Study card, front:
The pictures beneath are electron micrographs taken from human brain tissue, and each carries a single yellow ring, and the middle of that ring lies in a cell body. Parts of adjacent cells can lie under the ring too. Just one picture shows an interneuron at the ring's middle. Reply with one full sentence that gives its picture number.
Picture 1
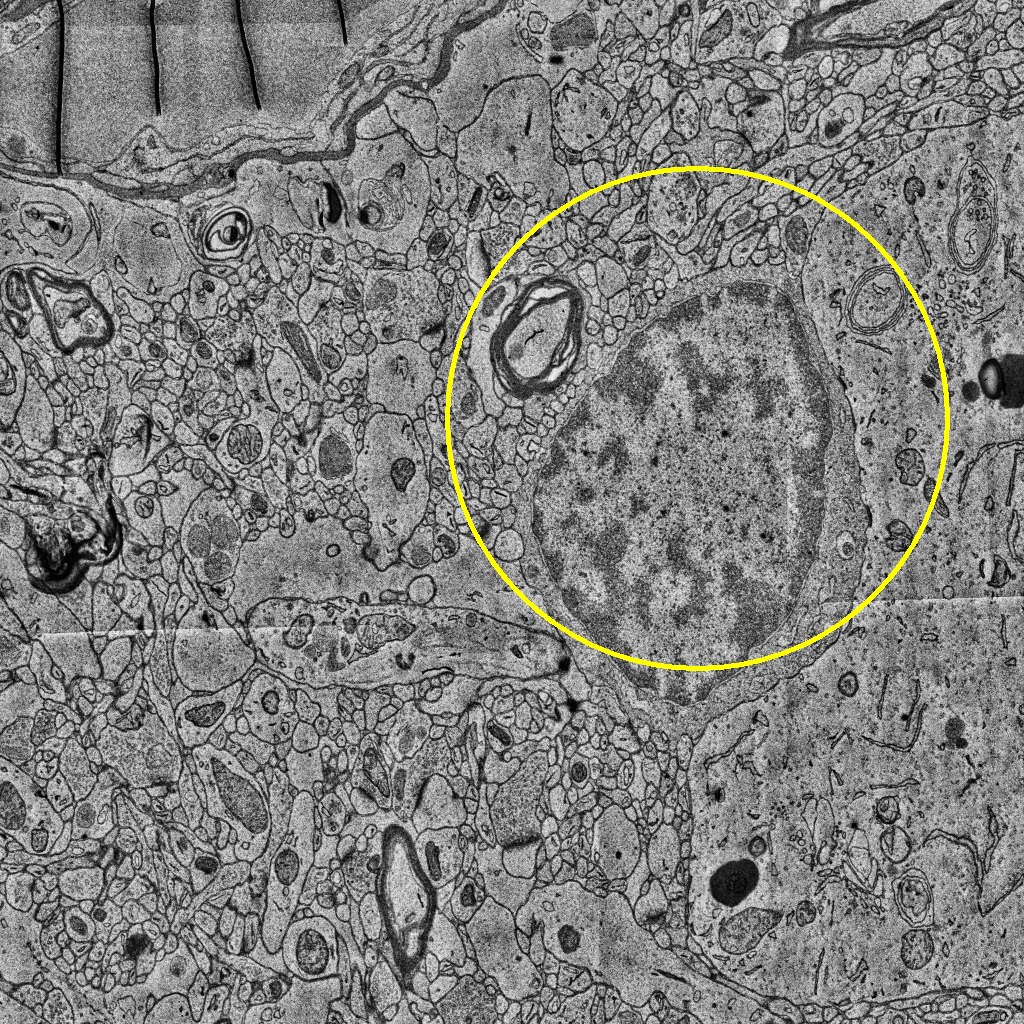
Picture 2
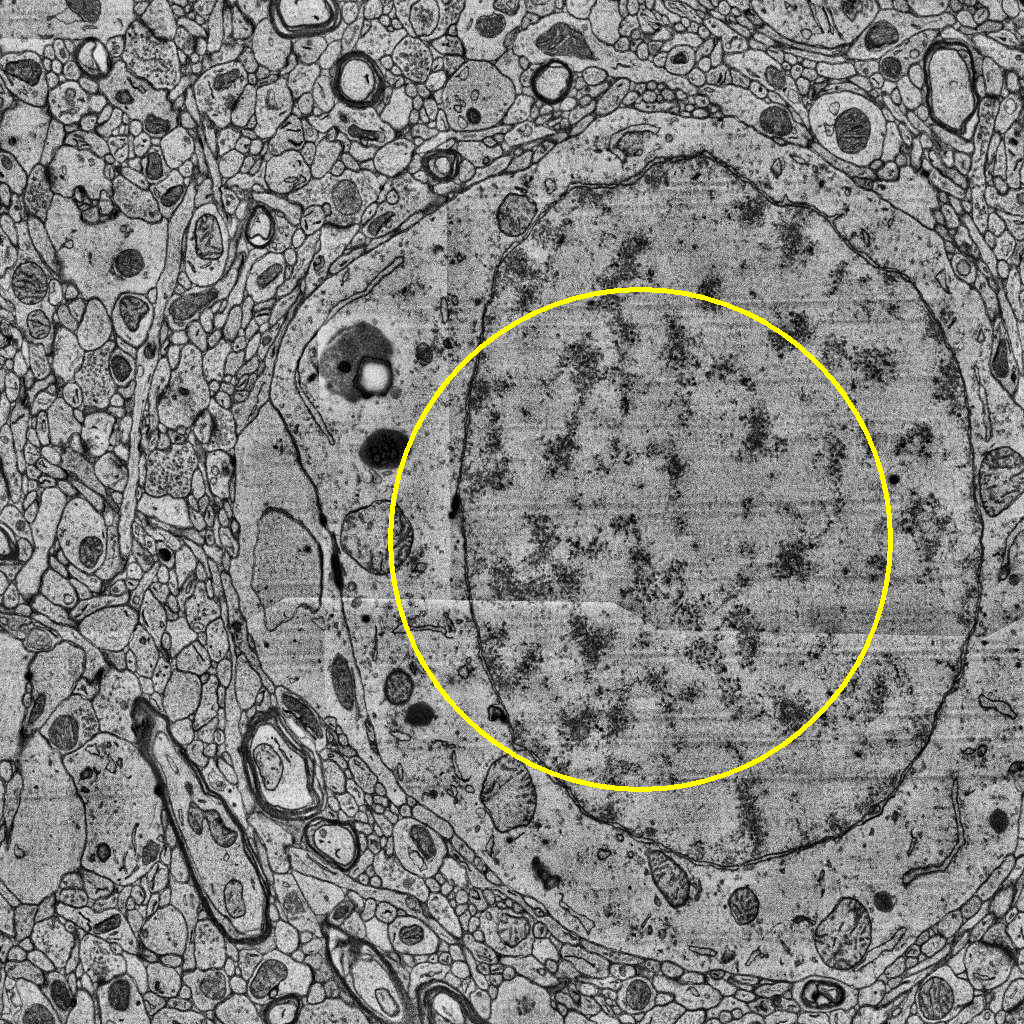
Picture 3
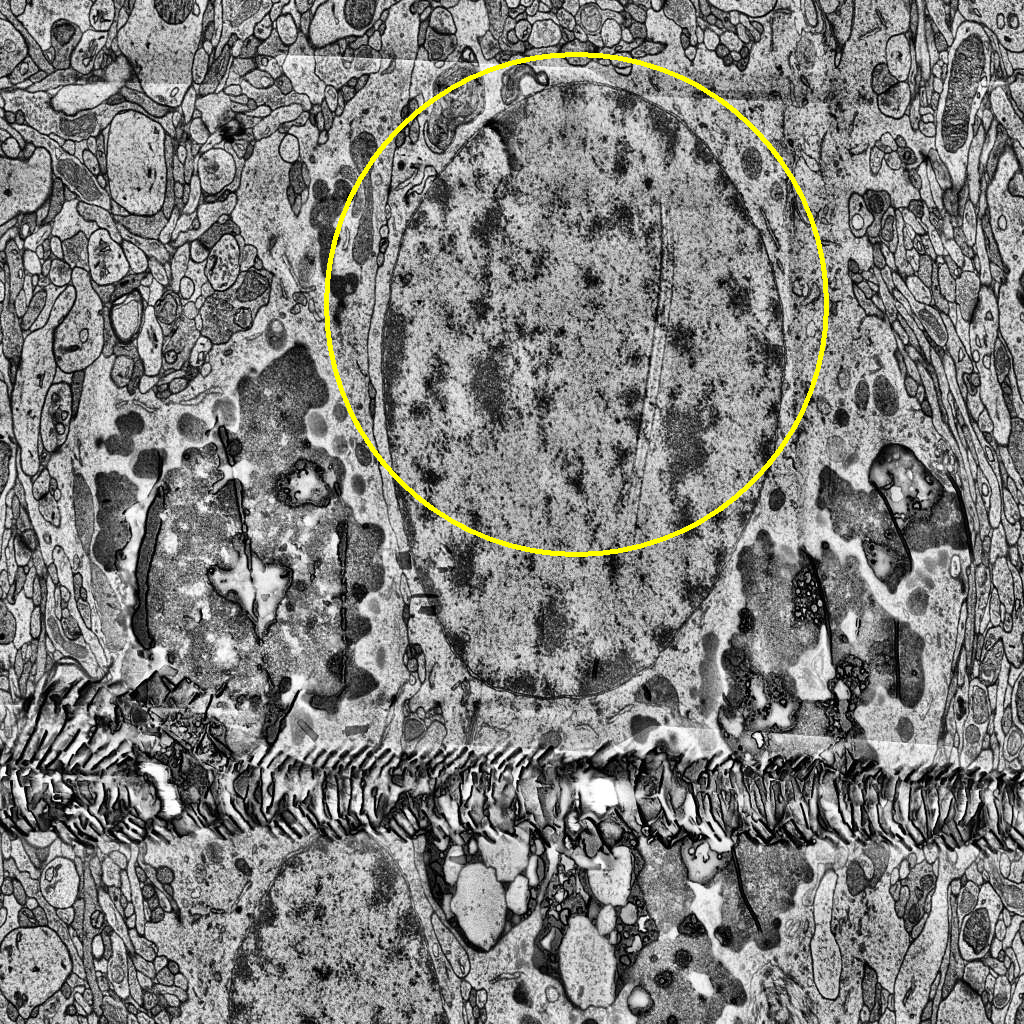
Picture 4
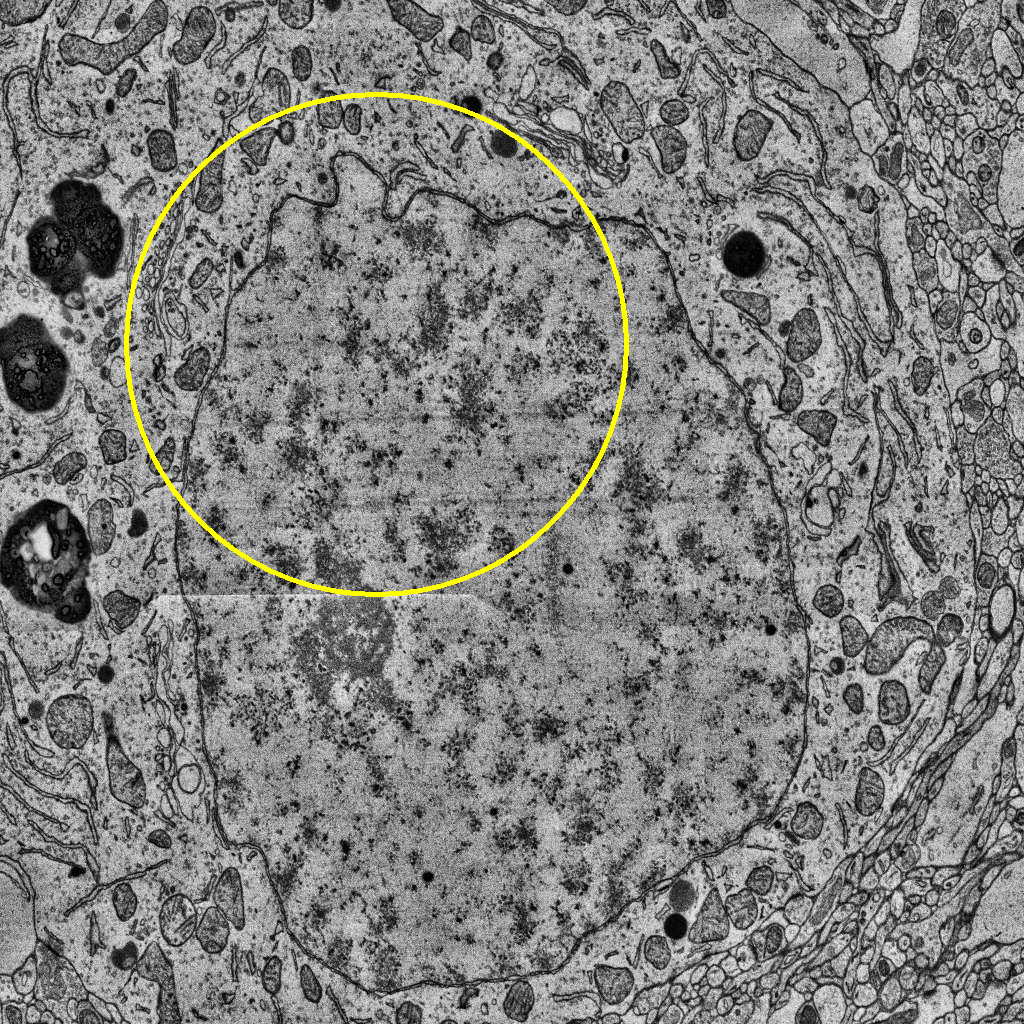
Picture 4 is the one whose ring has its centre within the requested cell.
